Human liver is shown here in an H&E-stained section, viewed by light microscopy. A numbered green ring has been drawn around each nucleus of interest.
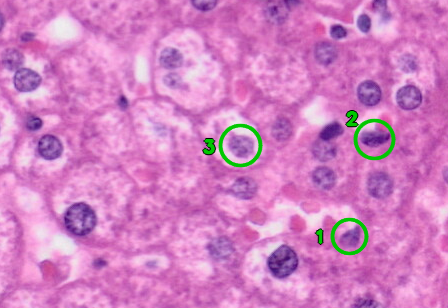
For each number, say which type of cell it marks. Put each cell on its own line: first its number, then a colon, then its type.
1: endothelial cell
2: endothelial cell
3: hepatocyte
